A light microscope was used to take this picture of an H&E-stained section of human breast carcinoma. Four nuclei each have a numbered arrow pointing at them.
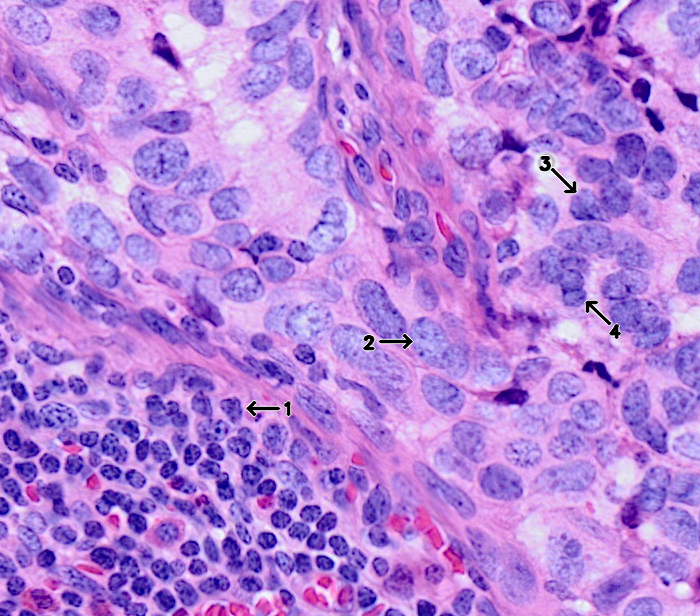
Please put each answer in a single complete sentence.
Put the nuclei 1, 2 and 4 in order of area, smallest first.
From smallest to largest, the order is 1, 4, 2.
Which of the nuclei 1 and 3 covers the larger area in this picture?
At about 2 times the area of nucleus 1, nucleus 3 is the larger of the two.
